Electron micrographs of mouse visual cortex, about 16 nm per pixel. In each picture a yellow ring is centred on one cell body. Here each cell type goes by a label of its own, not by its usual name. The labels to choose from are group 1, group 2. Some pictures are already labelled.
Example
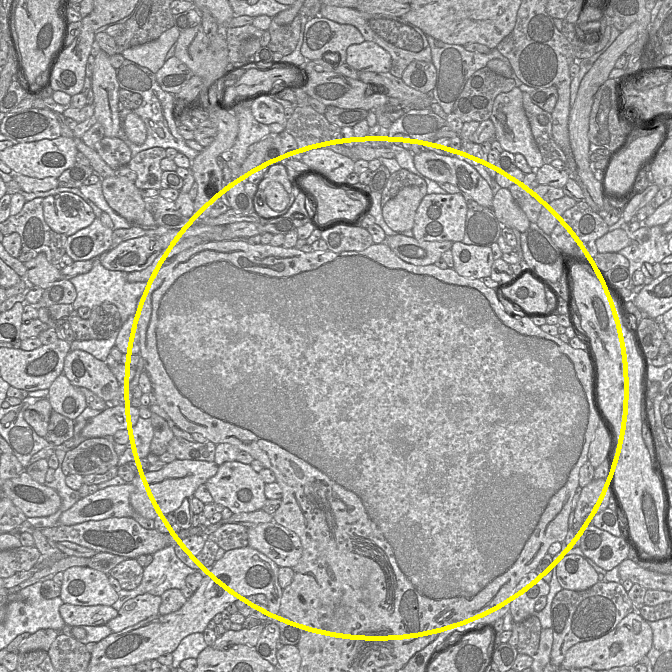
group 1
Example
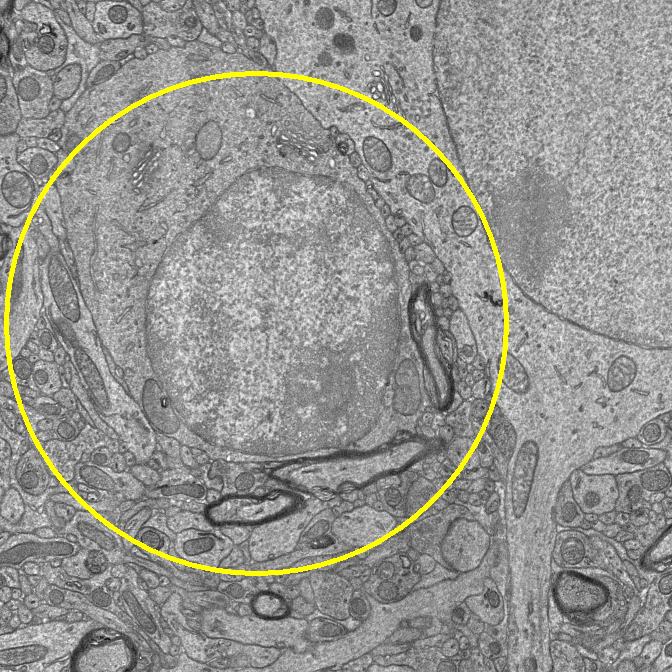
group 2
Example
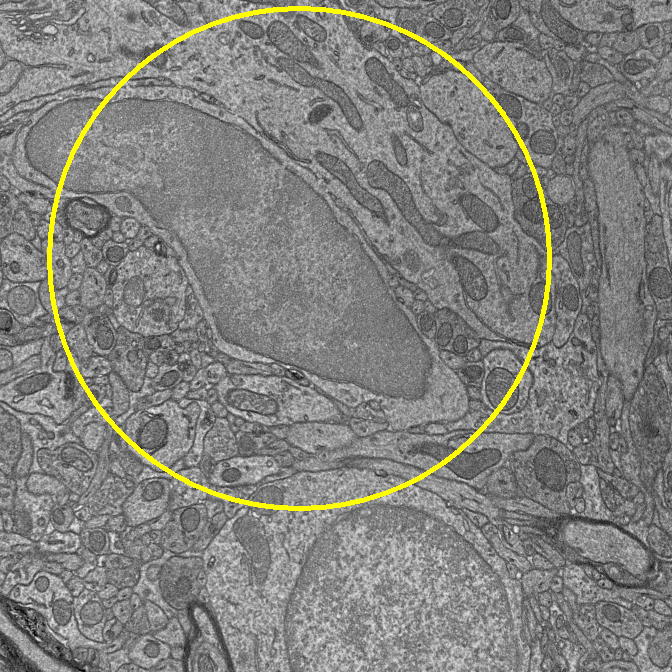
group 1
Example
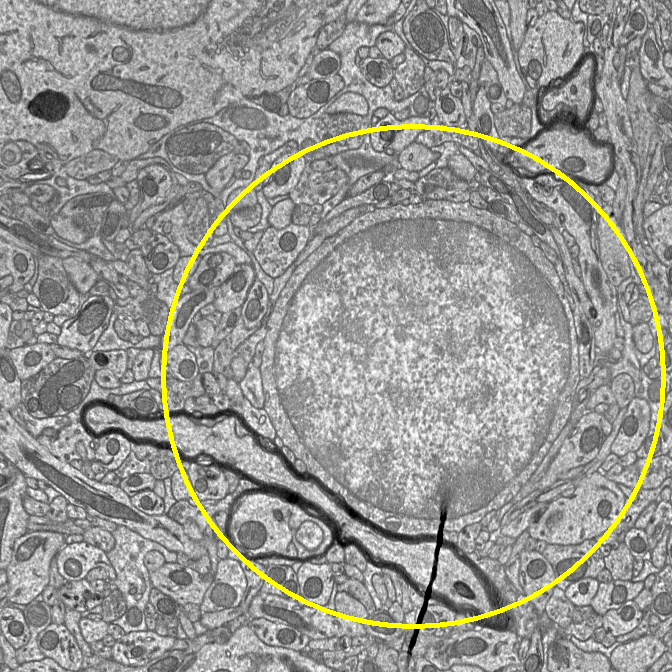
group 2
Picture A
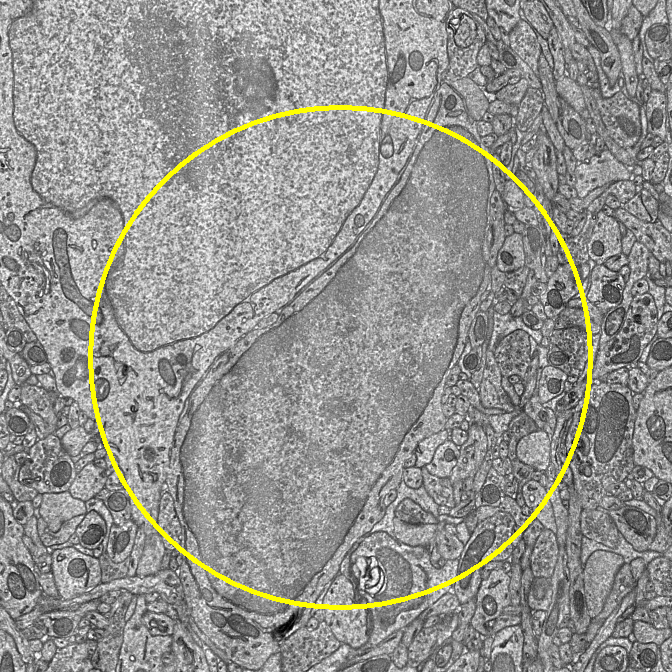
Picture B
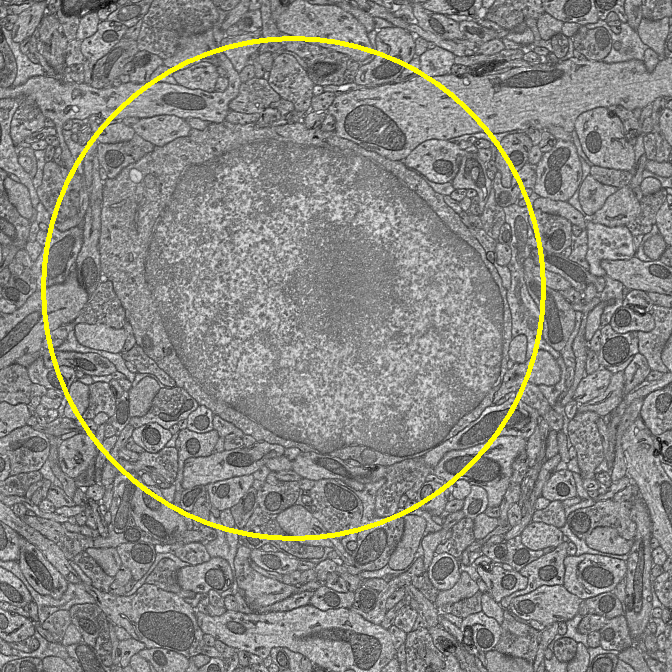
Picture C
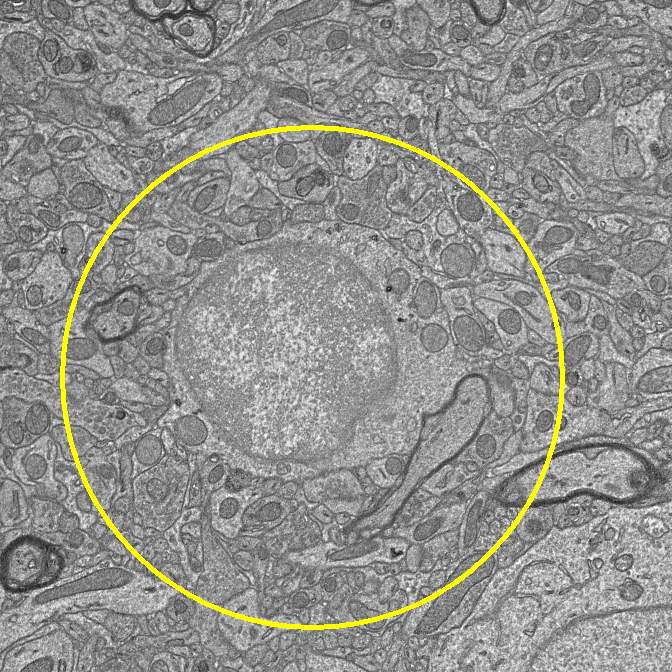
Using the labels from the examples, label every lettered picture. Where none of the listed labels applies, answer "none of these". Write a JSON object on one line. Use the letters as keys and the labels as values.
{"A": "group 1", "B": "group 2", "C": "group 2"}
